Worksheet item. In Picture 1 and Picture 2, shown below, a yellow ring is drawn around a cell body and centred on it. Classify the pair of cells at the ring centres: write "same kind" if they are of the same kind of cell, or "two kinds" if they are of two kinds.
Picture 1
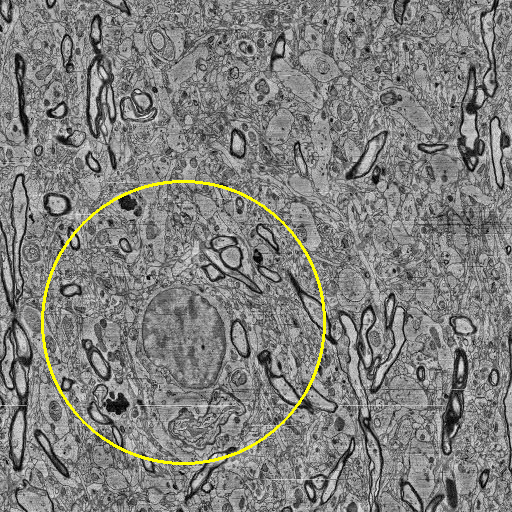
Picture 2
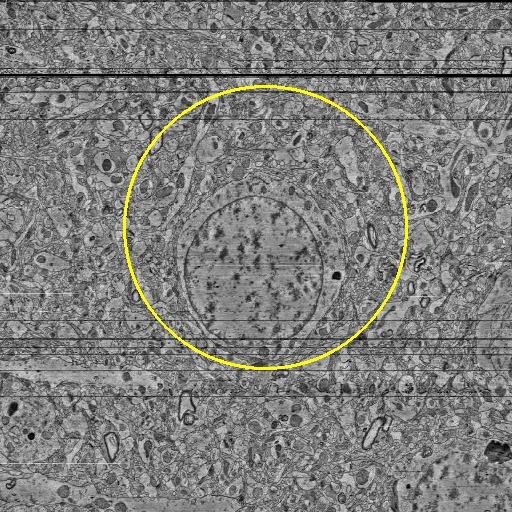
two kinds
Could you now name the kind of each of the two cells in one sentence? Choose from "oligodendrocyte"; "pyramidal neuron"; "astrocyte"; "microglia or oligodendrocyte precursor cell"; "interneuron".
The first ring encloses an oligodendrocyte; the second ring encloses a pyramidal neuron.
